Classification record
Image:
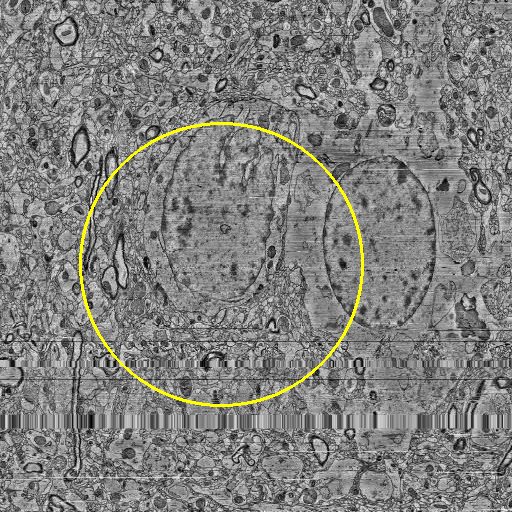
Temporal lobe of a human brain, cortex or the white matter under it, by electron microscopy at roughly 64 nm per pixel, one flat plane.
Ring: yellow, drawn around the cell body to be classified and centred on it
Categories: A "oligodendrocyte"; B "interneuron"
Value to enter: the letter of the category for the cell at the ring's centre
B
